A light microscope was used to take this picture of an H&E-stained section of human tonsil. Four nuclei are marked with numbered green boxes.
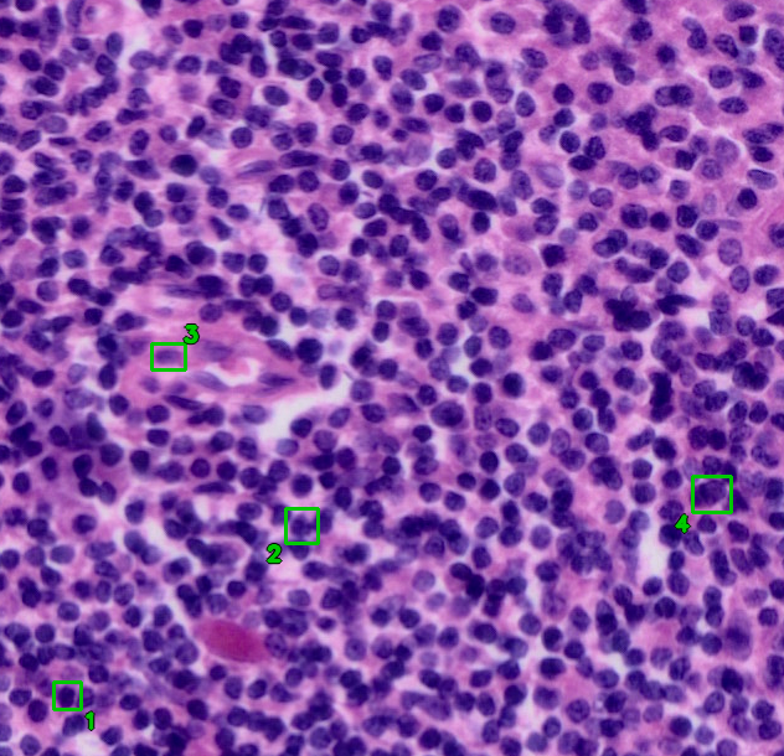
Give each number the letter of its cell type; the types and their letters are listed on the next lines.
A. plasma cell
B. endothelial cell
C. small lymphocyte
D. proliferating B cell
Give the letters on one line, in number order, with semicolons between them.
C; C; B; C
